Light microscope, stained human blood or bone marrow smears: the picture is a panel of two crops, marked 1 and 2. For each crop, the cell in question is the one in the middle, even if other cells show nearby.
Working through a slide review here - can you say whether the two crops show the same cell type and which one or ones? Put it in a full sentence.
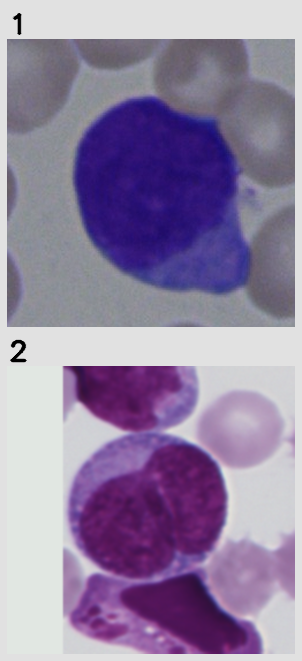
Yes, both crops depict blasts at the centre.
